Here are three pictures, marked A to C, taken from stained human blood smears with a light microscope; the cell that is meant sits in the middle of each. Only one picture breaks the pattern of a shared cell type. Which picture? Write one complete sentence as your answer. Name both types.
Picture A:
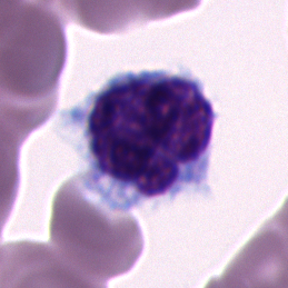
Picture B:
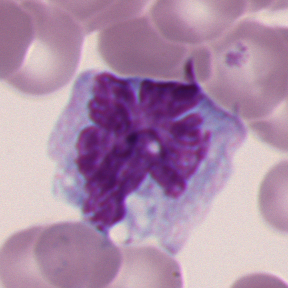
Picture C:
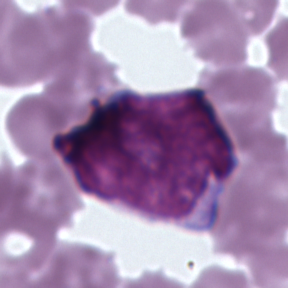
Picture C differs, because its cell is a myeloblast and the rest are monocytes.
